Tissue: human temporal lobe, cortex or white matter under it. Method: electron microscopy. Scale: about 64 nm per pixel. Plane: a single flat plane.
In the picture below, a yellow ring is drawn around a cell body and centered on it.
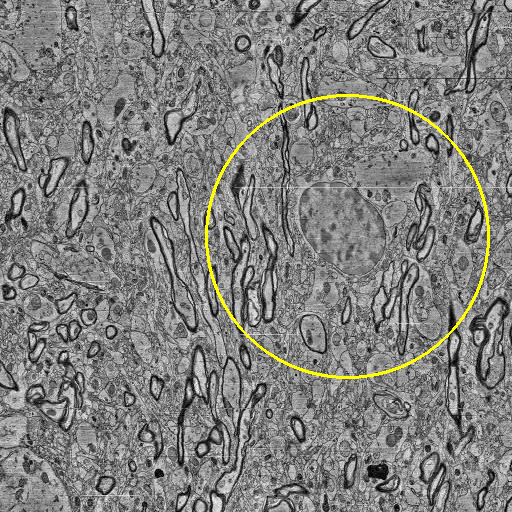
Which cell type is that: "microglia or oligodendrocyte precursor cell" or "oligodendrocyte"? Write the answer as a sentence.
The cell centered in the ring is a microglial cell or oligodendrocyte precursor cell.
